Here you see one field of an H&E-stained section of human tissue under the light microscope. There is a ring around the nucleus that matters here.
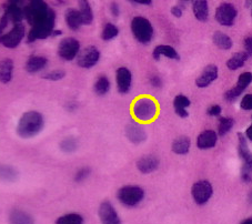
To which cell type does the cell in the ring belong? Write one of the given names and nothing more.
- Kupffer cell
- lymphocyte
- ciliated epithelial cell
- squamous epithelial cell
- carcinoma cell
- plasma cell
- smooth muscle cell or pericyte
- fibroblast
squamous epithelial cell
